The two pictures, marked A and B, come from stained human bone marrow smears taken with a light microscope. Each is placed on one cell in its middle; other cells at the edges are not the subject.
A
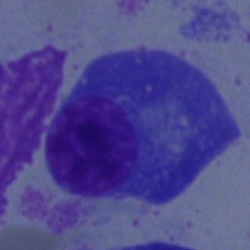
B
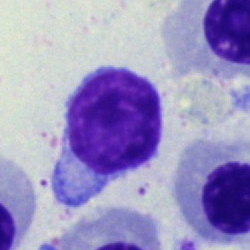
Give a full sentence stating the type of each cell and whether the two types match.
No, the cell at the middle of crop A is a plasma cell, while crop B centres on a lymphocyte.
